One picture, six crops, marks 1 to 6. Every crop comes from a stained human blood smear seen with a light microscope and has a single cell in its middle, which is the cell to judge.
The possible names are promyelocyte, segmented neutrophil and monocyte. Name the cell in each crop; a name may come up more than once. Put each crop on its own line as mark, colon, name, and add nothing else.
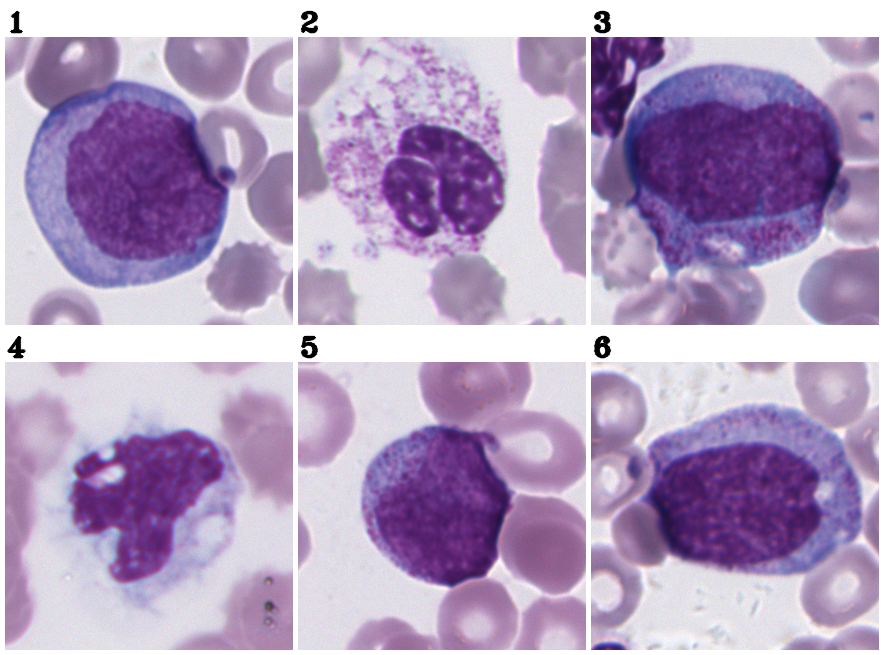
1: promyelocyte
2: segmented neutrophil
3: promyelocyte
4: monocyte
5: promyelocyte
6: promyelocyte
